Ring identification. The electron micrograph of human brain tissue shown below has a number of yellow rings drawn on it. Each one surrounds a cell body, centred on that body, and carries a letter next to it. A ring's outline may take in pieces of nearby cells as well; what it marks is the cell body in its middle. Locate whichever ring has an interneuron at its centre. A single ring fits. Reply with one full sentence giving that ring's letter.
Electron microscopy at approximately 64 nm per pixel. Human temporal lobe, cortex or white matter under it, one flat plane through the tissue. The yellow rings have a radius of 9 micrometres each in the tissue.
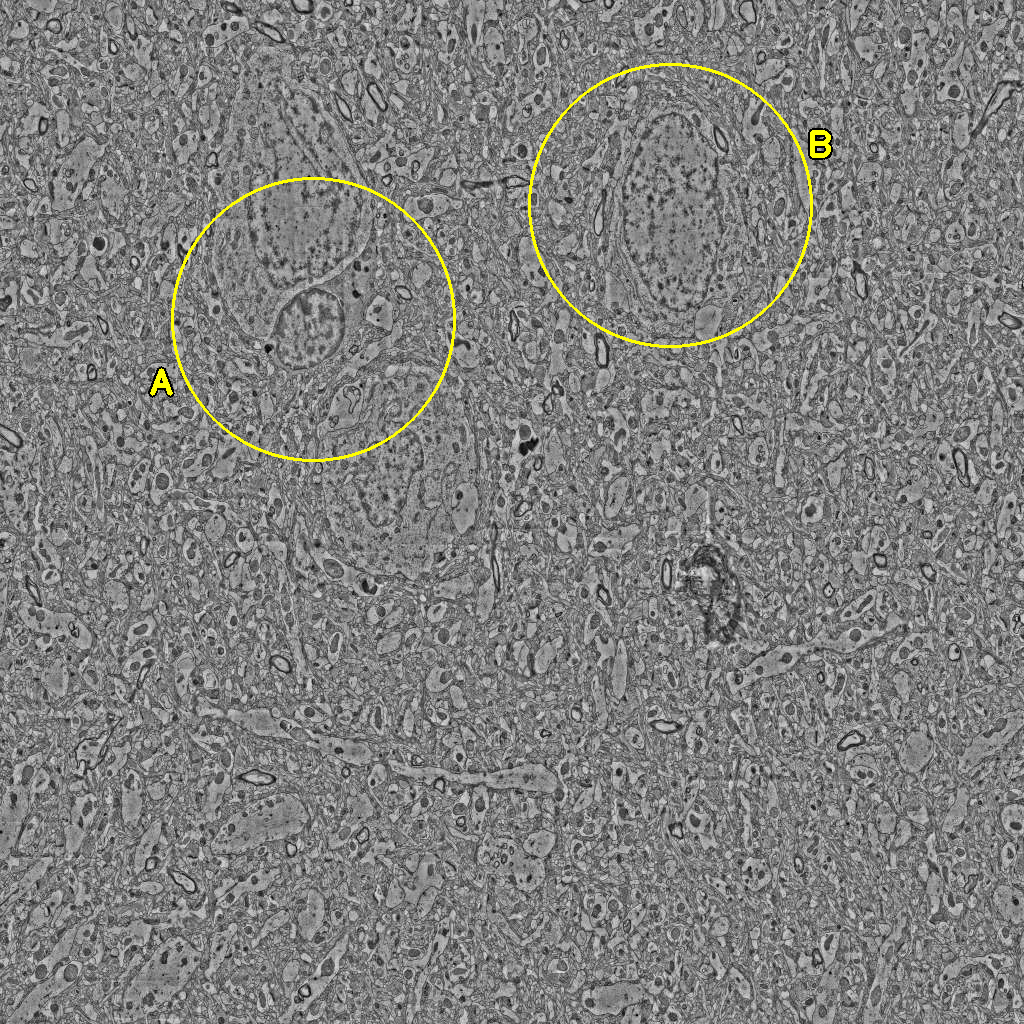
The letter B belongs to the ring centred on a cell of that kind.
